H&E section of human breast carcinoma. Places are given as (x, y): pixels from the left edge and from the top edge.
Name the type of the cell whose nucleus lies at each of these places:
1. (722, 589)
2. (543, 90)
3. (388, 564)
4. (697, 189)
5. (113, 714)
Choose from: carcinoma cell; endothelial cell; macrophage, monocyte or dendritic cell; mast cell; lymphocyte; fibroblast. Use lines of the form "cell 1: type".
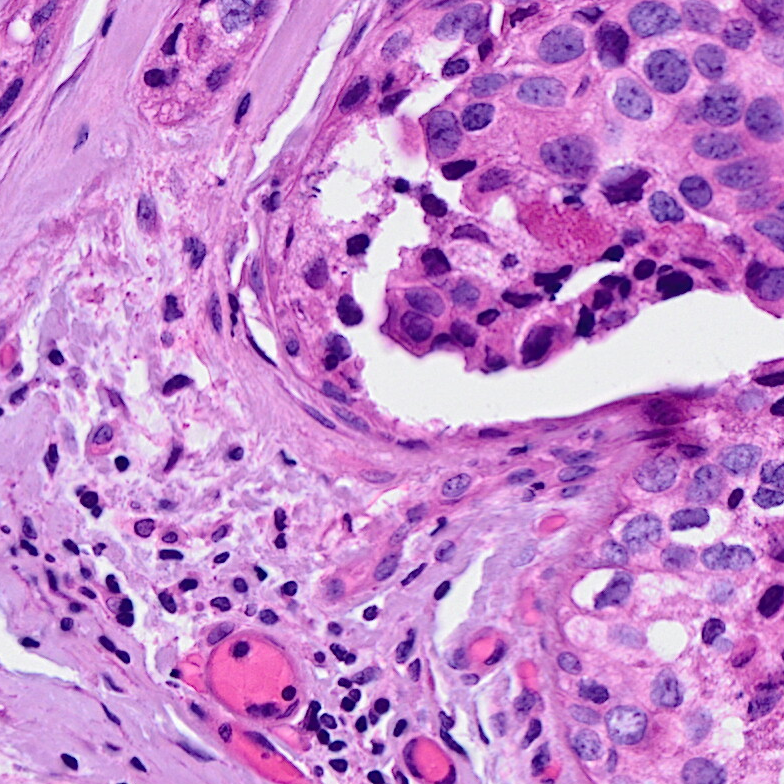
cell 1: carcinoma cell
cell 2: carcinoma cell
cell 3: endothelial cell
cell 4: carcinoma cell
cell 5: fibroblast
